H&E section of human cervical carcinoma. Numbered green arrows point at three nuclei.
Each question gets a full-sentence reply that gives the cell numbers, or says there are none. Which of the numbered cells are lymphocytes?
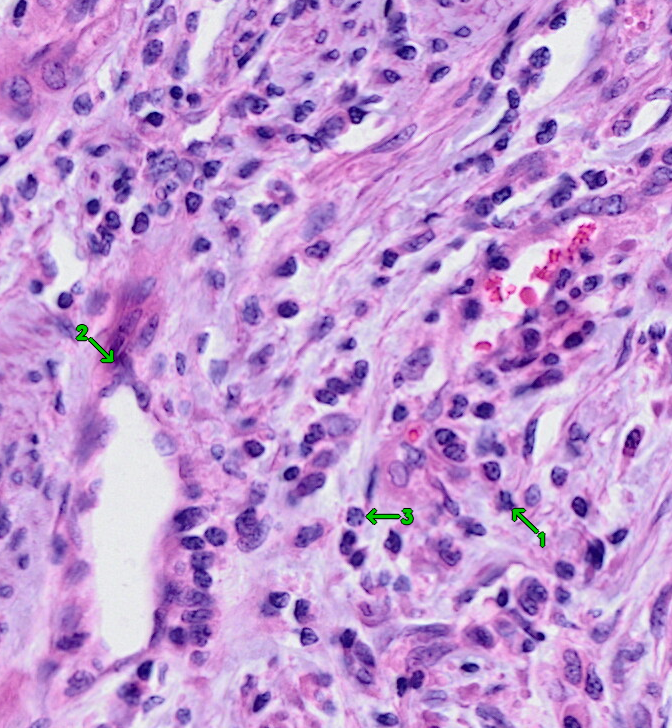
The cells that have been numbered 1 and 3 are lymphocytes.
